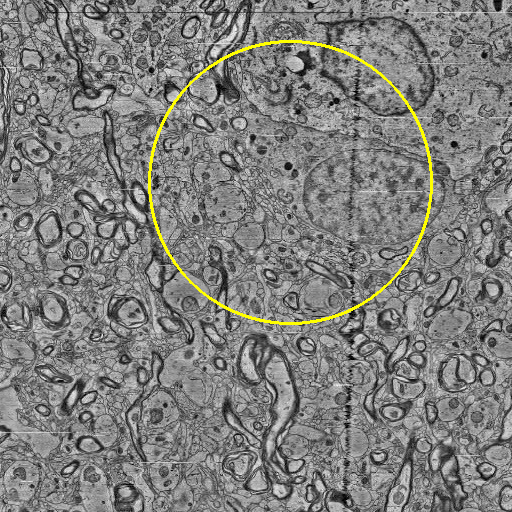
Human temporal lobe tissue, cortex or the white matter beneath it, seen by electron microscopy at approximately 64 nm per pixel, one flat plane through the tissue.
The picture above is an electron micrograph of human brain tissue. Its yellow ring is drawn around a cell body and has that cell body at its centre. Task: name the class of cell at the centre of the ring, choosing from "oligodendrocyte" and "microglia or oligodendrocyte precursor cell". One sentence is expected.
The ring surrounds the body of an oligodendrocyte.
